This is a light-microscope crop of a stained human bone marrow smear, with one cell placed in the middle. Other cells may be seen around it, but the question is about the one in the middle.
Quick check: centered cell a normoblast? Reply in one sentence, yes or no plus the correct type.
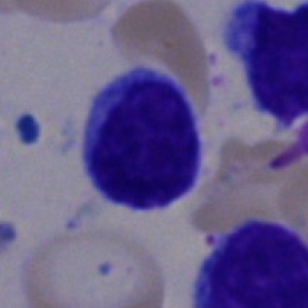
No, instead of a normoblast, the middle cell is a lymphocyte.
